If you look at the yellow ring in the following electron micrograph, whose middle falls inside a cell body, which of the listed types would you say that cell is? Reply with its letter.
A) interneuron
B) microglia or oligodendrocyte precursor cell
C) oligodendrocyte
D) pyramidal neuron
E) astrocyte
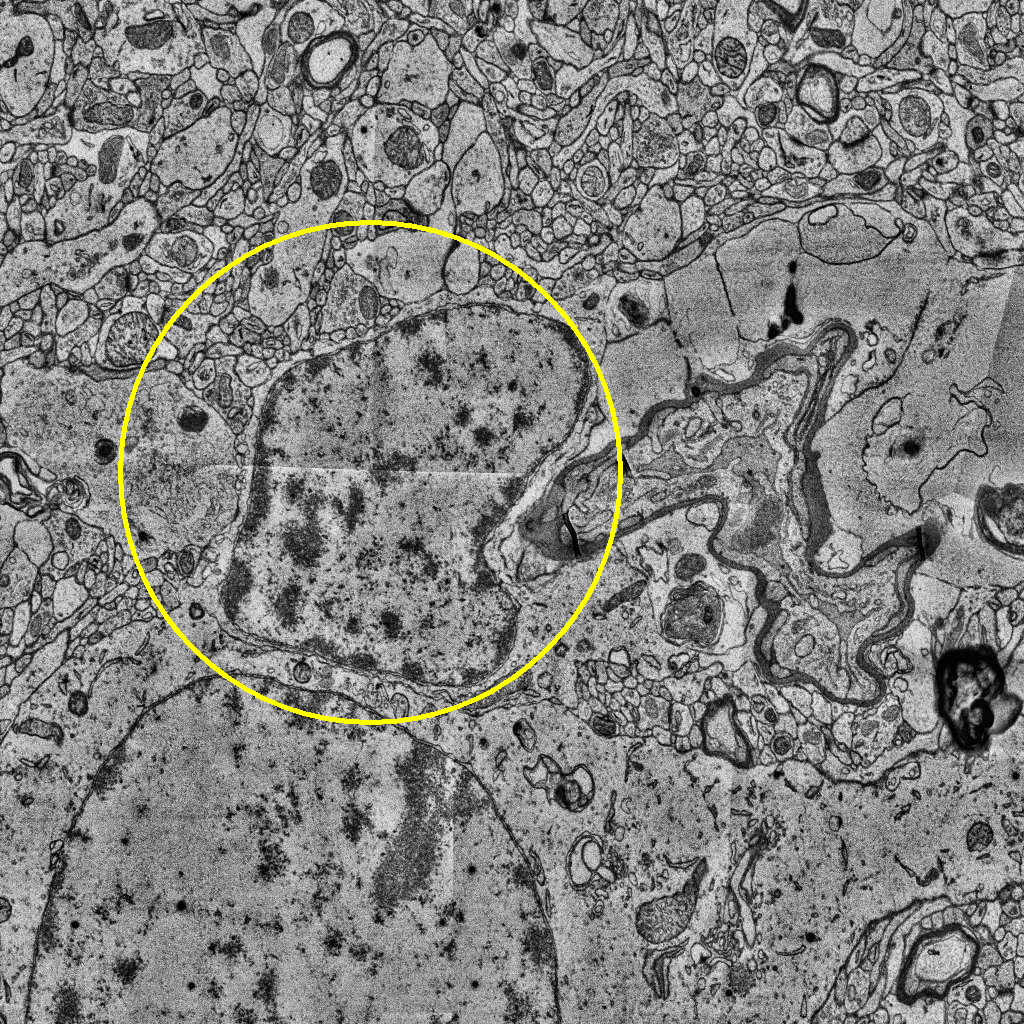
B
